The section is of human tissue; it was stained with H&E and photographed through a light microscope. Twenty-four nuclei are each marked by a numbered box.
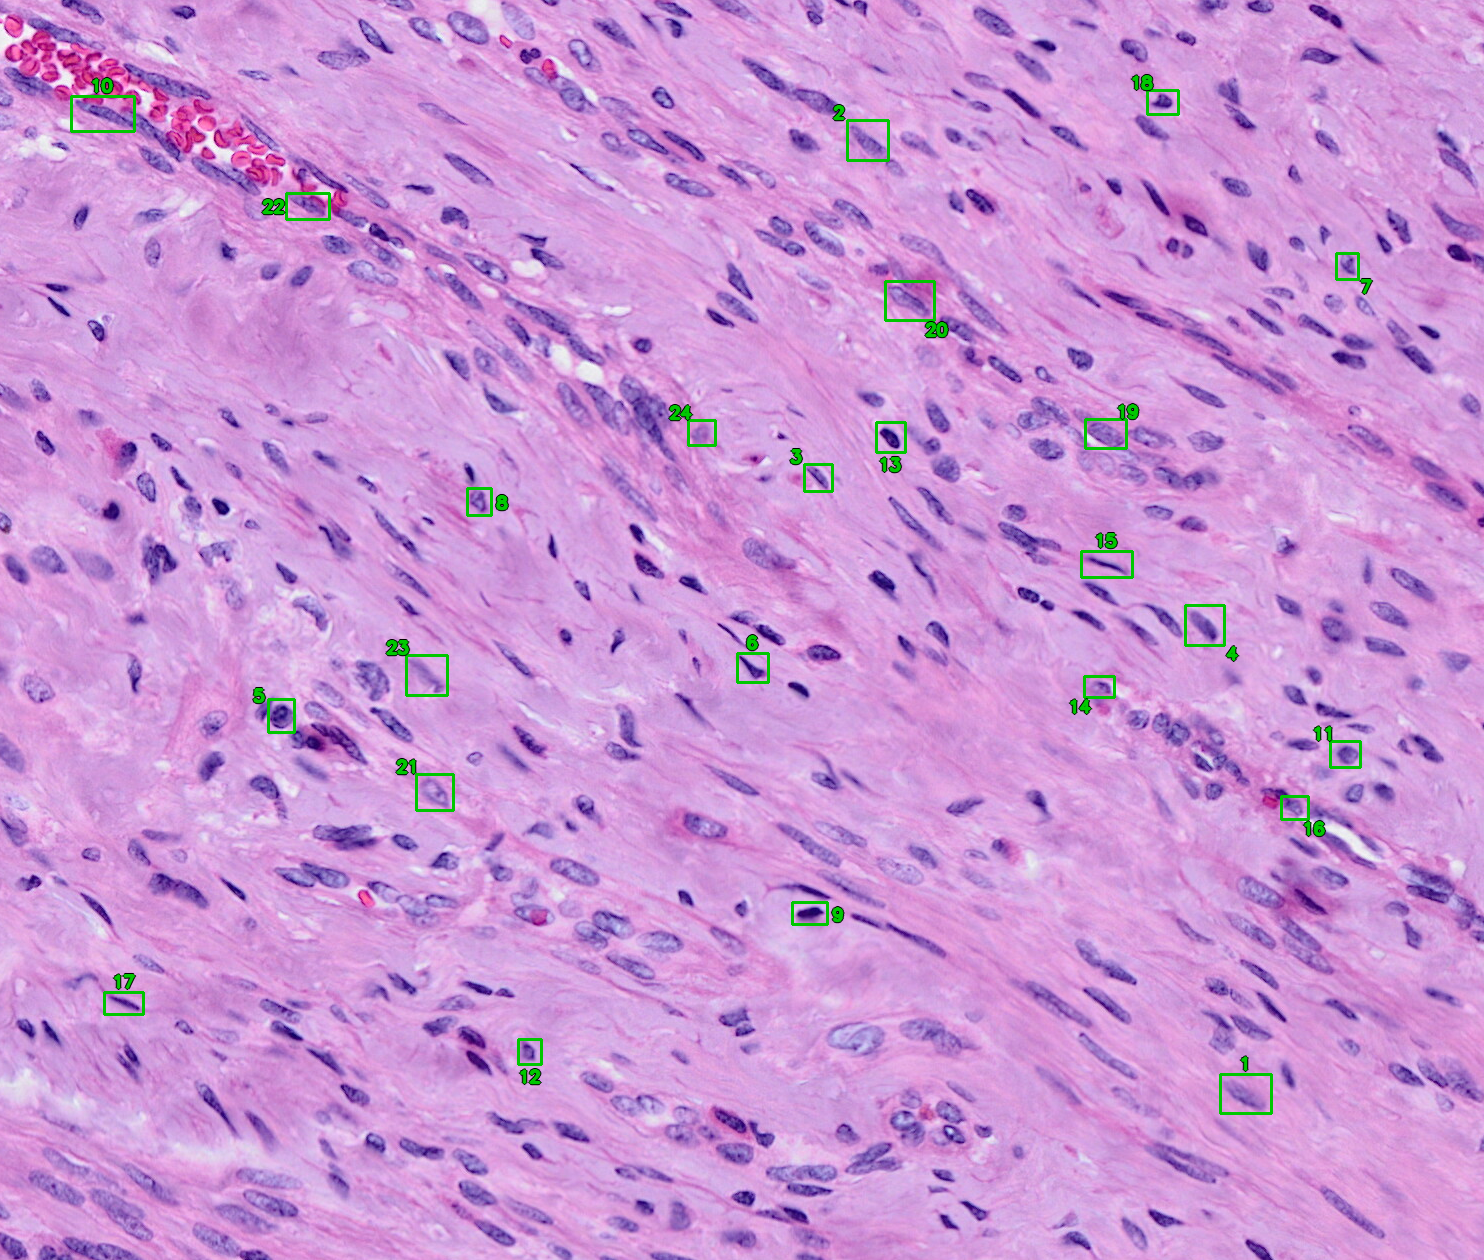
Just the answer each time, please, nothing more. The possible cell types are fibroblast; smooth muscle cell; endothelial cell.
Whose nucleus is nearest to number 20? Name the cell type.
endothelial cell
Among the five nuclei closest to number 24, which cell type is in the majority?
endothelial cell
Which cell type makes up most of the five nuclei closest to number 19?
endothelial cell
